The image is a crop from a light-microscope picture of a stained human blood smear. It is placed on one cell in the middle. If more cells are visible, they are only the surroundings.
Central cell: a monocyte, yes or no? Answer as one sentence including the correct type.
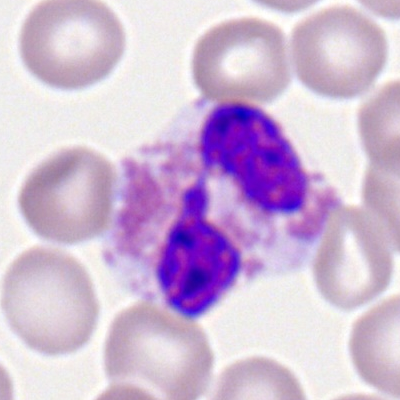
No, the central cell is not a monocyte; it is an eosinophil instead.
